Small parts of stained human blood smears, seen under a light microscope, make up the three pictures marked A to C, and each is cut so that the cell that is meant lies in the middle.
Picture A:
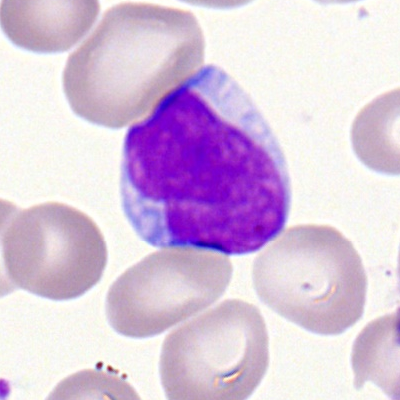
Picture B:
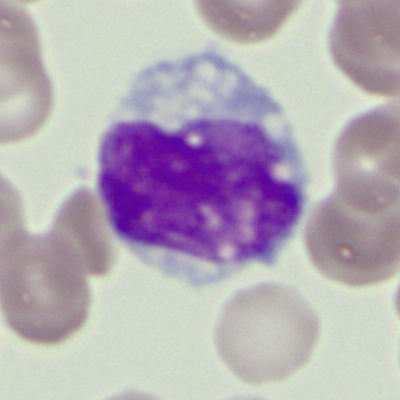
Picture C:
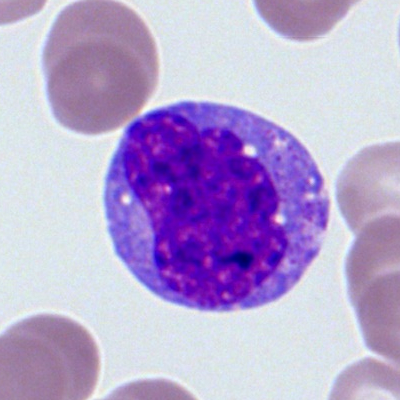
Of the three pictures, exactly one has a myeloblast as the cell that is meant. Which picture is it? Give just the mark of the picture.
A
